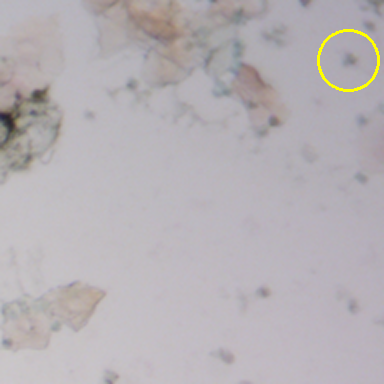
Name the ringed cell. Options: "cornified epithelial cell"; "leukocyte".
leukocyte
